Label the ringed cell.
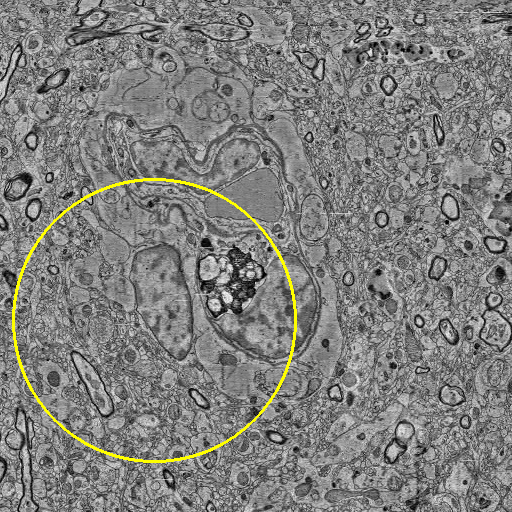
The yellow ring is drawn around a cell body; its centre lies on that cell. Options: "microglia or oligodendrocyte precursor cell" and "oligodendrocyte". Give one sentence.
The ringed cell is a microglial cell or oligodendrocyte precursor cell.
